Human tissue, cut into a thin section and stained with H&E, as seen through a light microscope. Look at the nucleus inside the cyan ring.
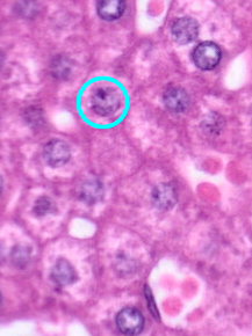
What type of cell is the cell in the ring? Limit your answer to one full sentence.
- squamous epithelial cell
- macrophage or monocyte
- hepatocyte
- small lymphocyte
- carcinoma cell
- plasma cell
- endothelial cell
Considered by cell type, the cell in the ring is a hepatocyte.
